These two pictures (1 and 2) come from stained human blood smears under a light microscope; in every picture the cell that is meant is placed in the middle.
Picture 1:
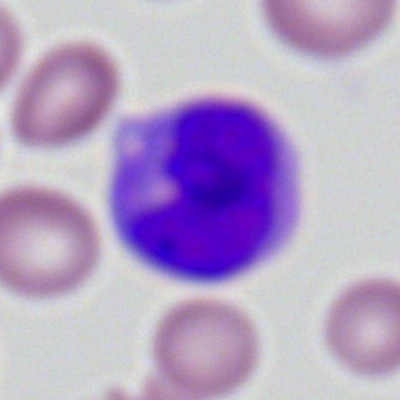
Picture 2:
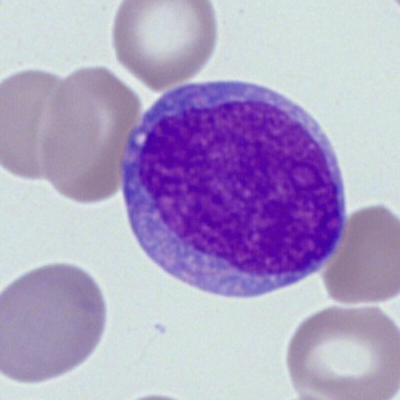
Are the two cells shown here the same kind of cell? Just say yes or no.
no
